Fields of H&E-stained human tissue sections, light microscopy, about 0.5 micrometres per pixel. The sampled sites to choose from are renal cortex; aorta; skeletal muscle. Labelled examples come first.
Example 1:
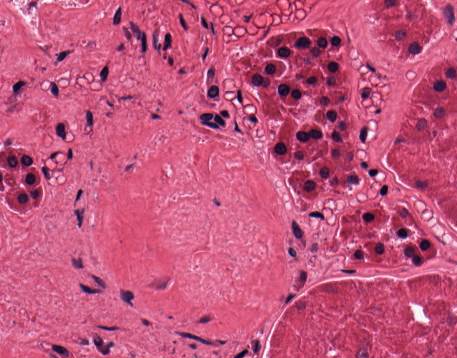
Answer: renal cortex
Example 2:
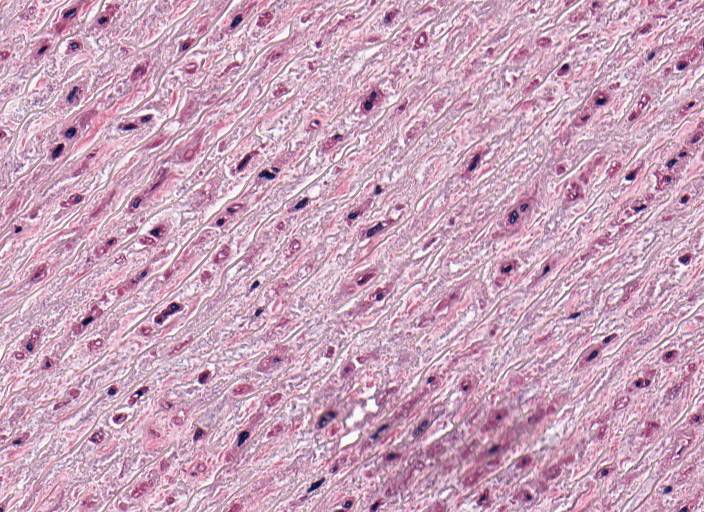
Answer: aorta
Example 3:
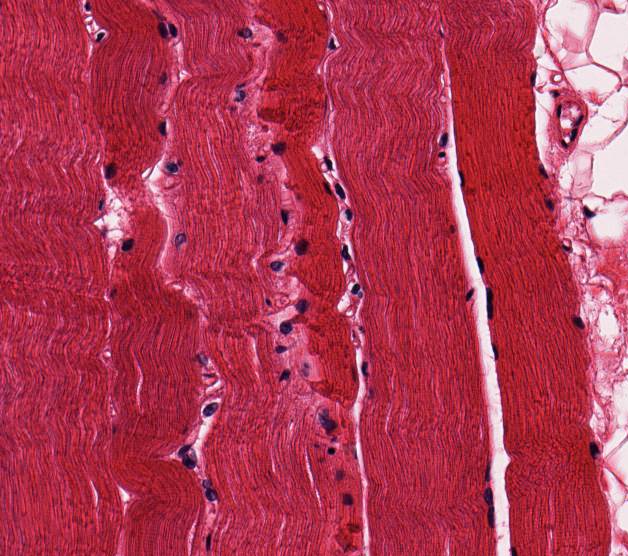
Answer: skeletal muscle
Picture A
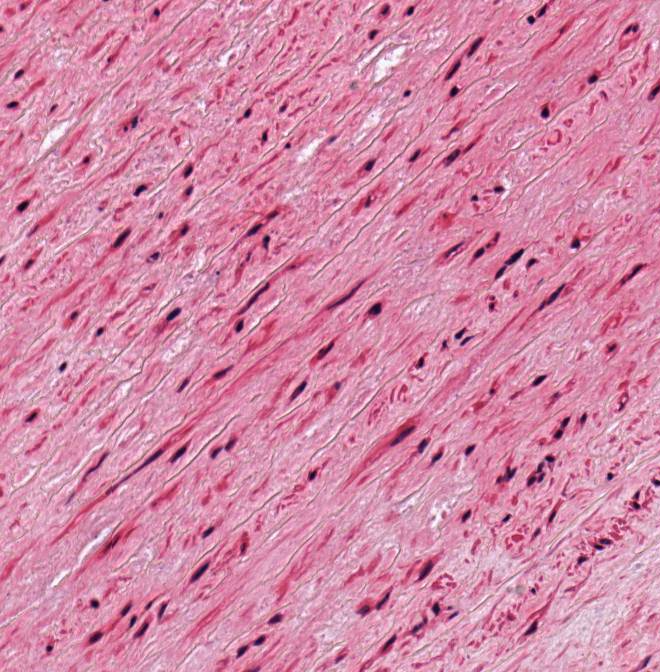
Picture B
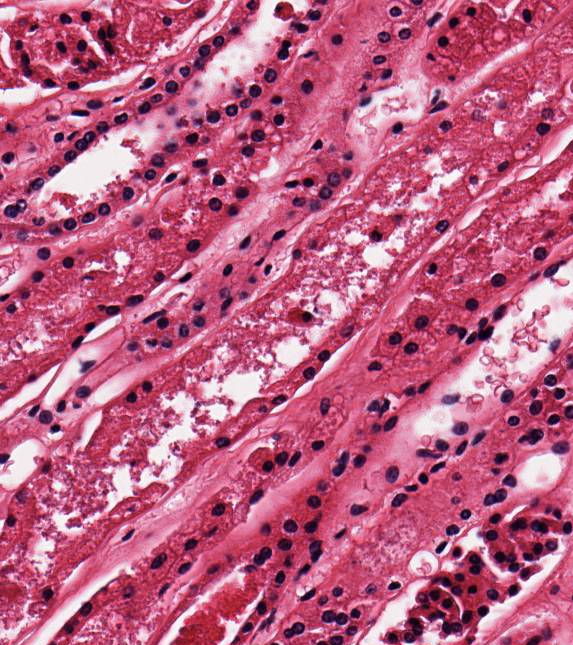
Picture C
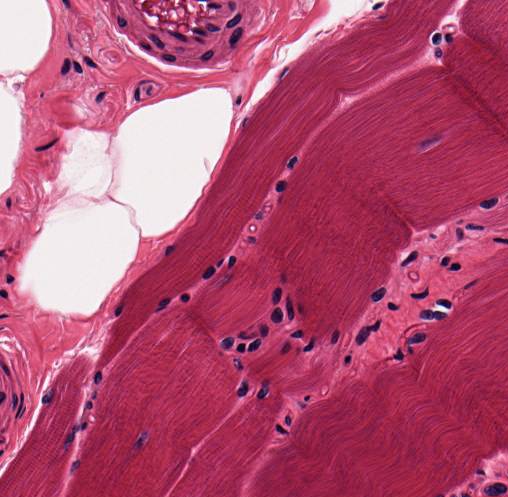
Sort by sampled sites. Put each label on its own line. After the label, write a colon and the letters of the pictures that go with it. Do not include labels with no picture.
renal cortex: B
aorta: A
skeletal muscle: C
